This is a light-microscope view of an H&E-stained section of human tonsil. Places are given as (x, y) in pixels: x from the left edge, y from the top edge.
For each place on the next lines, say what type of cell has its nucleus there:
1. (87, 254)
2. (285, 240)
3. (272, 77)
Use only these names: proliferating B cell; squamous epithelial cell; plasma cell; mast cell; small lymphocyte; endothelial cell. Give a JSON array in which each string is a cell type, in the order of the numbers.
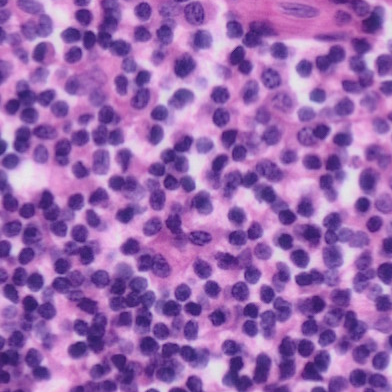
["small lymphocyte", "small lymphocyte", "plasma cell"]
